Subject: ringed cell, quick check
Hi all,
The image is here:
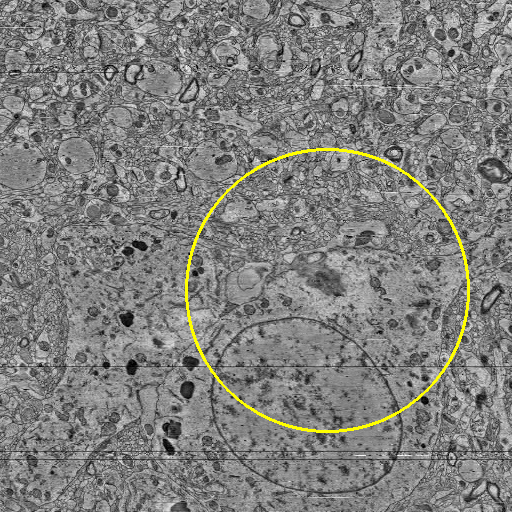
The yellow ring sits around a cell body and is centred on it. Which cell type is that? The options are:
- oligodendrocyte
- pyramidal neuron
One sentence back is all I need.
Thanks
That ringed cell is an oligodendrocyte.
